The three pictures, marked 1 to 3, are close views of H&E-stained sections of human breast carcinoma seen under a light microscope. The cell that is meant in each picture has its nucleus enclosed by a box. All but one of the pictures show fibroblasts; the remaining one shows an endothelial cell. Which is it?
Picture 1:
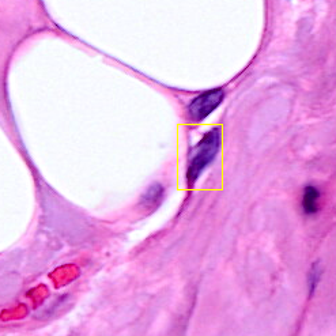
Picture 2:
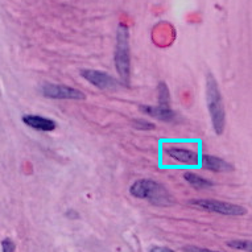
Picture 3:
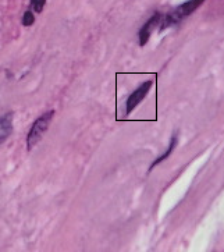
2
